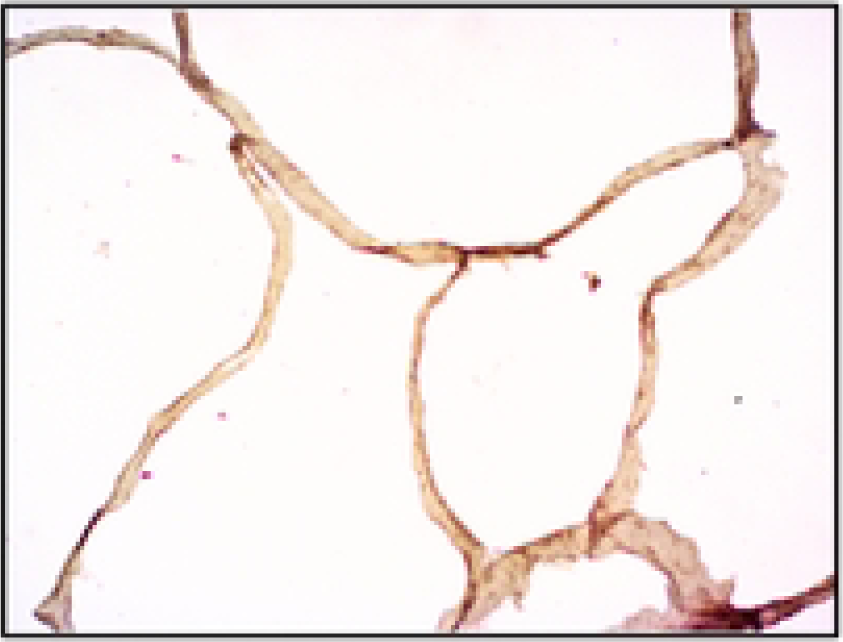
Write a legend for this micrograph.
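This is white adipose tissue made of large adipocytes. The cytoplasm forms only a very thin rim at the edge of each cell, and neighbouring cells press against one another so that their rims meet in thin partitions with small thickenings where three cells join. The rims are stained light to mid brown. Nuclei are not clearly seen, and there is little tissue between the cells.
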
